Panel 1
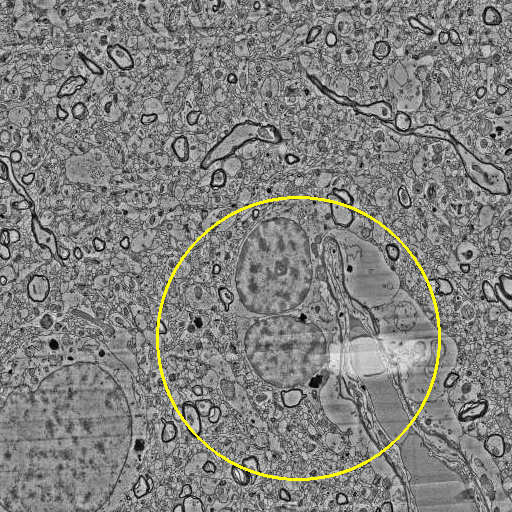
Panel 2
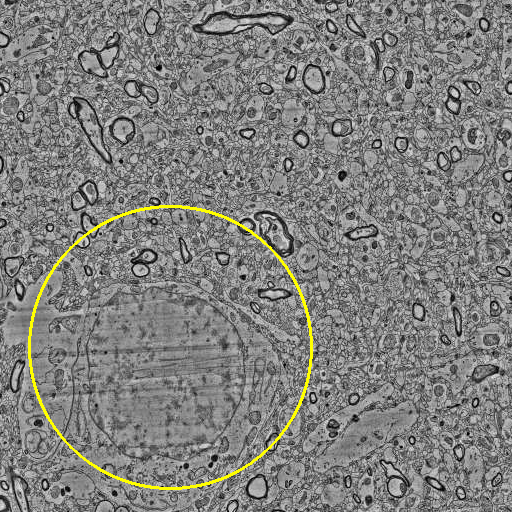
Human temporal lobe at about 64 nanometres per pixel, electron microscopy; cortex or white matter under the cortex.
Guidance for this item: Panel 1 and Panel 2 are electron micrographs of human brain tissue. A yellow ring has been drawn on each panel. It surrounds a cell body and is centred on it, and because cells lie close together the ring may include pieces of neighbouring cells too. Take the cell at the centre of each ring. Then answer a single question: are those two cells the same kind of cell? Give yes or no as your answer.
no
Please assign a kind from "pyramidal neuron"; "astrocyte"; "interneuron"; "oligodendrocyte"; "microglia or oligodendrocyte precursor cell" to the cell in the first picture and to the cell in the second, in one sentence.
In the first picture we have an oligodendrocyte, and in the second, a pyramidal neuron.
